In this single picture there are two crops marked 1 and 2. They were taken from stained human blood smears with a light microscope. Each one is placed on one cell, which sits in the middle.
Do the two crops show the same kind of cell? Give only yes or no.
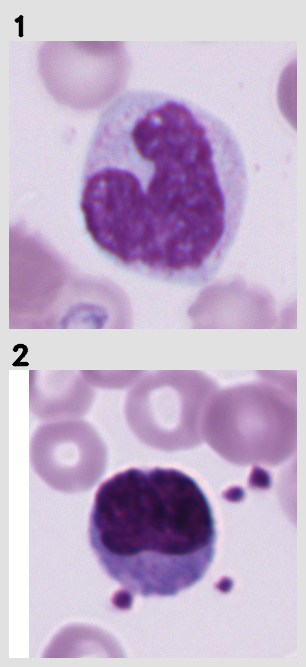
yes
